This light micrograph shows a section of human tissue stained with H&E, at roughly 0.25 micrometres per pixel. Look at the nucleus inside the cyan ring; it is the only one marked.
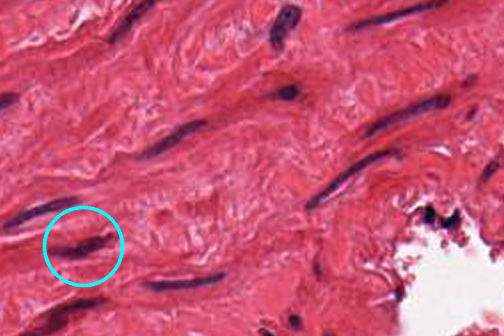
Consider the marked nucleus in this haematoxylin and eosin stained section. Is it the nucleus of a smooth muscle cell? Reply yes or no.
yes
